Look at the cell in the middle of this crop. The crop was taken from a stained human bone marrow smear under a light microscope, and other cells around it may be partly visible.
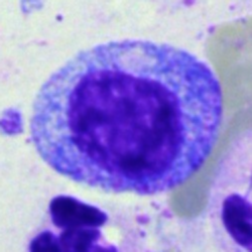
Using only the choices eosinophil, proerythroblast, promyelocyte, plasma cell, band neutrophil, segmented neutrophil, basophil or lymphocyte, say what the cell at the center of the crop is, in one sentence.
Here the cell in the middle is a promyelocyte.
